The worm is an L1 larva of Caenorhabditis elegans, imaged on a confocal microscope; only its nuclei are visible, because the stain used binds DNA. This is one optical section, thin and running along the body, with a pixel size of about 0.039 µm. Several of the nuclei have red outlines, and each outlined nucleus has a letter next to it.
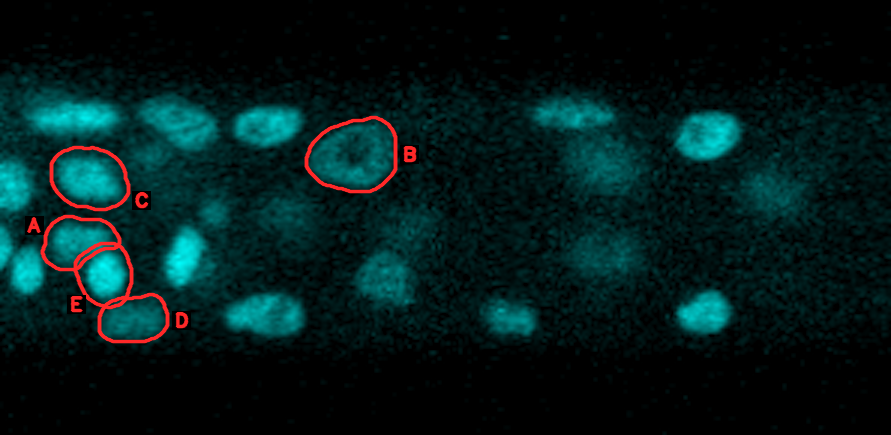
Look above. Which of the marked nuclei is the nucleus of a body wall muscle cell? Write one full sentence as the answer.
It is D that belongs to a body wall muscle cell.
